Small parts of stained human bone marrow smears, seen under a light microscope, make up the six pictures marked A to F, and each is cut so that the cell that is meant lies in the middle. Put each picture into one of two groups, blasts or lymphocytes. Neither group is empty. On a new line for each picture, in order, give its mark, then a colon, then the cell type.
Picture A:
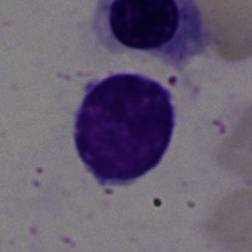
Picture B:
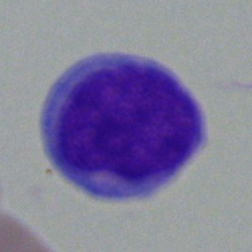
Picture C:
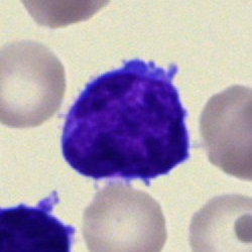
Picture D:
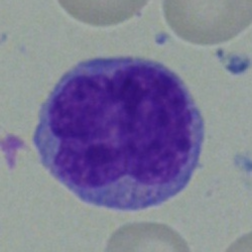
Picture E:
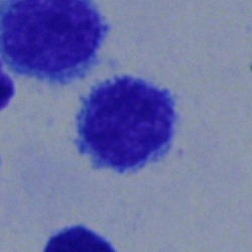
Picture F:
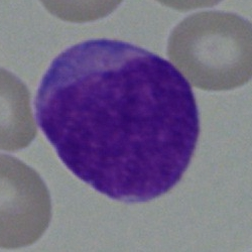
A: lymphocyte
B: blast
C: blast
D: blast
E: lymphocyte
F: blast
